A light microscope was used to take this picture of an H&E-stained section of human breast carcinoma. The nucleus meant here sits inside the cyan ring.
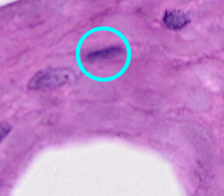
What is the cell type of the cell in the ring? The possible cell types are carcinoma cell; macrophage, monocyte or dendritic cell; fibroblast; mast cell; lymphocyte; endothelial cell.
fibroblast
